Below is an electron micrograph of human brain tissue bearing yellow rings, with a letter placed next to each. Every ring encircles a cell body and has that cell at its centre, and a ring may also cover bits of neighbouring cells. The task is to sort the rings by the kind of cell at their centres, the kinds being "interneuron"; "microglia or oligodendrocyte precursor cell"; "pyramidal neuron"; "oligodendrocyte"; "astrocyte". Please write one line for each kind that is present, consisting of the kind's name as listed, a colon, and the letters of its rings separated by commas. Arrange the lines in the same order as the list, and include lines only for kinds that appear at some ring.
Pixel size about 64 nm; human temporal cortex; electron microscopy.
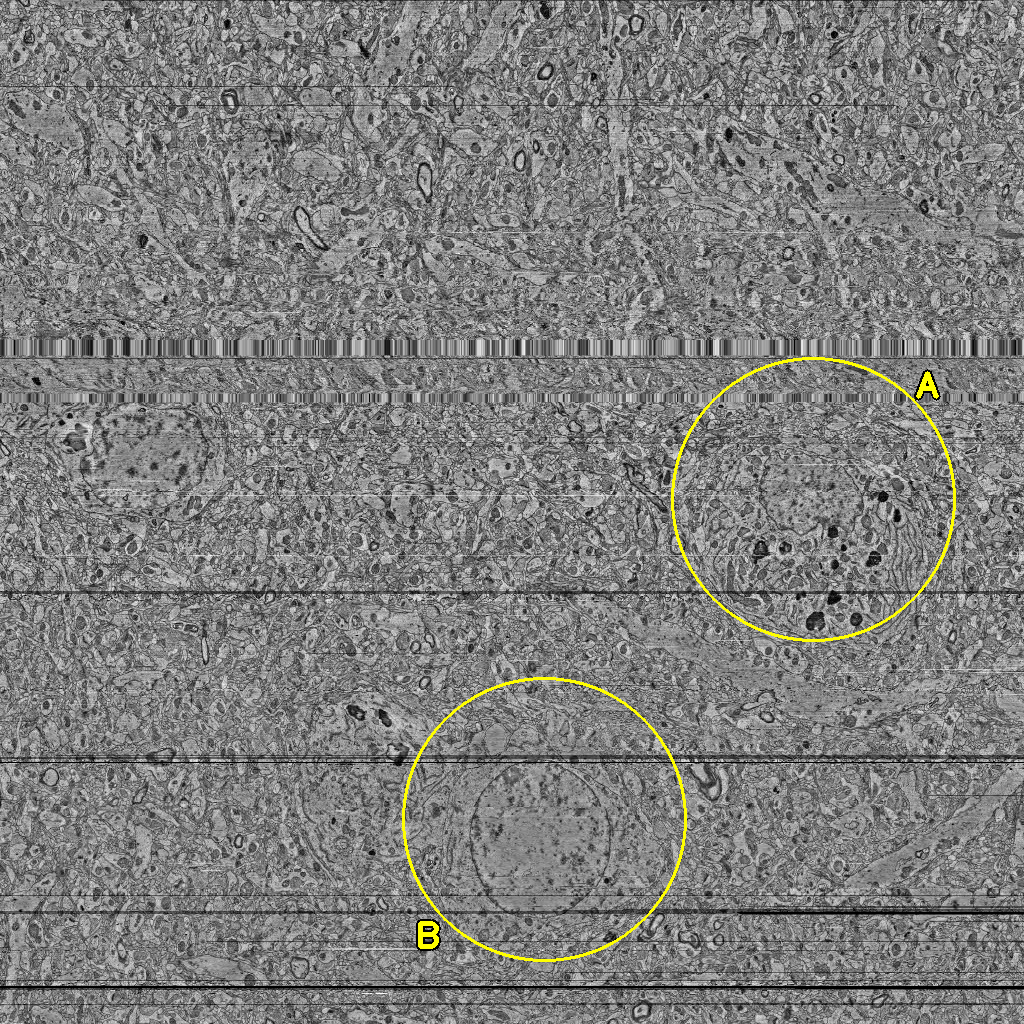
interneuron: A
pyramidal neuron: B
